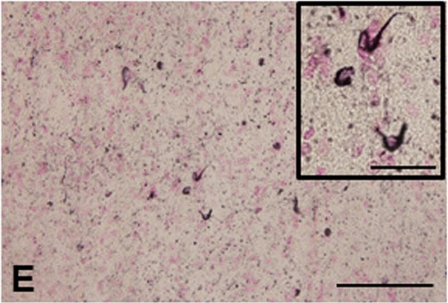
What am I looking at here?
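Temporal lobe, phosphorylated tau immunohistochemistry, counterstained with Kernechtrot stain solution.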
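White matter with many small round pink-stained nuclei scattered through a pale background. A few oligodendrocytes carry dark purple comma- or crescent-shaped inclusions curving around the cell body, some with short tail-like extensions. The inset shows these curved dark inclusions at higher magnification beside pink nuclei.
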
